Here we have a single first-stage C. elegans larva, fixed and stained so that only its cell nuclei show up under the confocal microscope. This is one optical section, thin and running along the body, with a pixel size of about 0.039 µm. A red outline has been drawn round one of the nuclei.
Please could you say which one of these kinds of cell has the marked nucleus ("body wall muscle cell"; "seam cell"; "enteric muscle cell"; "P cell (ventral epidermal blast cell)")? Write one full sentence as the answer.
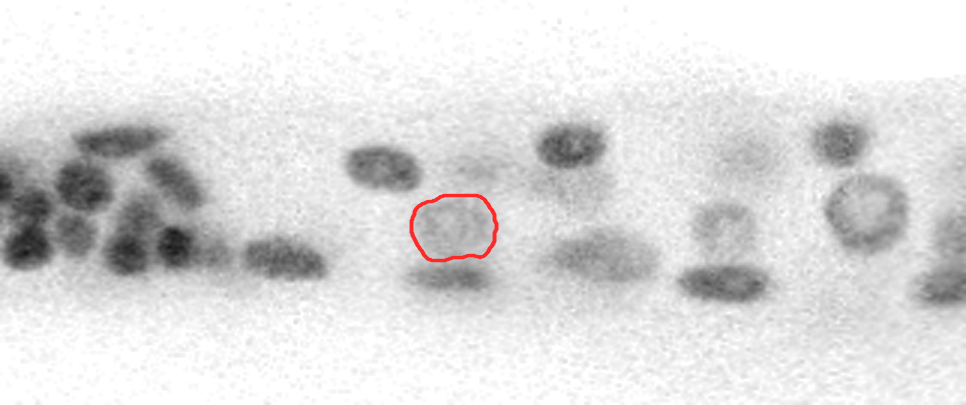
The marked nucleus is that of a seam cell.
